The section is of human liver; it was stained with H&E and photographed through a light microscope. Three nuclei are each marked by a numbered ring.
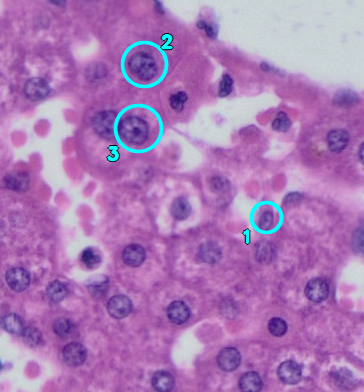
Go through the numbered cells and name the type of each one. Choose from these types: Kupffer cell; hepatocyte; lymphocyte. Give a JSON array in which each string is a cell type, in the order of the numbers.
["Kupffer cell", "hepatocyte", "hepatocyte"]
